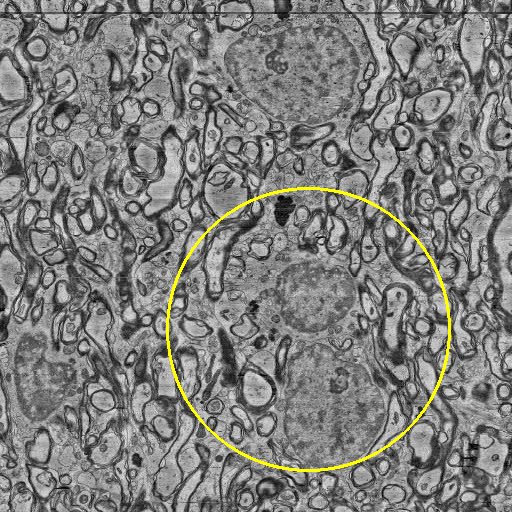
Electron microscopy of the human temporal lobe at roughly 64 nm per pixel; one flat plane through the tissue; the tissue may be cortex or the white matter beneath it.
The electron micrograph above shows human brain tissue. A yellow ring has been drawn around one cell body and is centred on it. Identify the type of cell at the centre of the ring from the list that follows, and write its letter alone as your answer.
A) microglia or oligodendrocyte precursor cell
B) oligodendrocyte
B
